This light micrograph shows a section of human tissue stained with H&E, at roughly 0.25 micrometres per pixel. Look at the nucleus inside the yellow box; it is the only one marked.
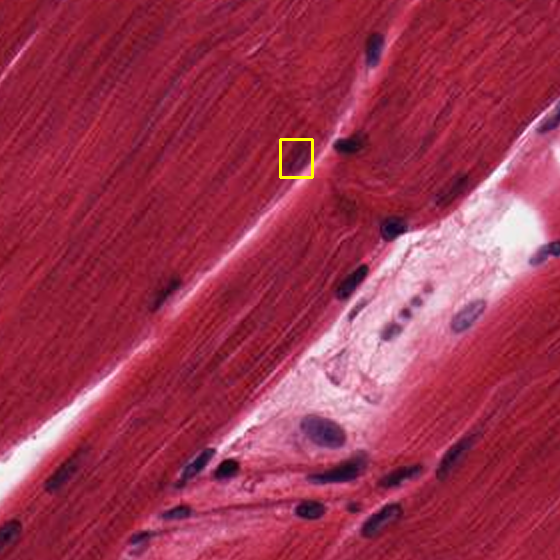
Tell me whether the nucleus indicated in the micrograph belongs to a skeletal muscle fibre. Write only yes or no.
yes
